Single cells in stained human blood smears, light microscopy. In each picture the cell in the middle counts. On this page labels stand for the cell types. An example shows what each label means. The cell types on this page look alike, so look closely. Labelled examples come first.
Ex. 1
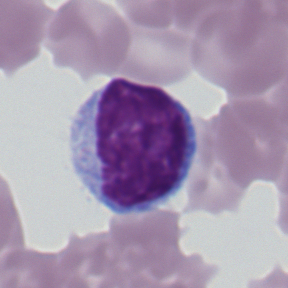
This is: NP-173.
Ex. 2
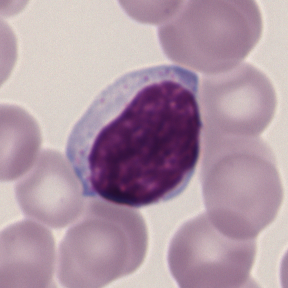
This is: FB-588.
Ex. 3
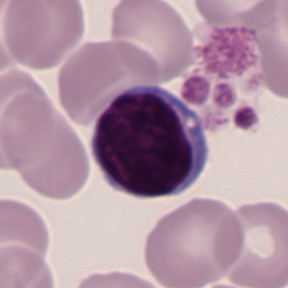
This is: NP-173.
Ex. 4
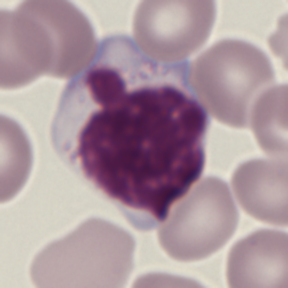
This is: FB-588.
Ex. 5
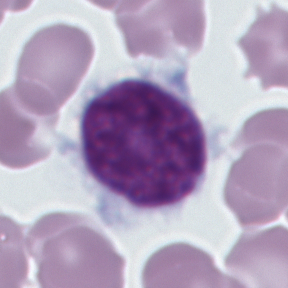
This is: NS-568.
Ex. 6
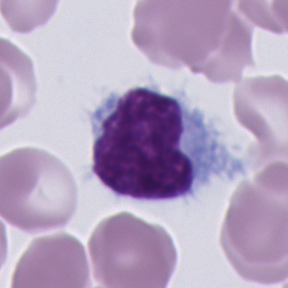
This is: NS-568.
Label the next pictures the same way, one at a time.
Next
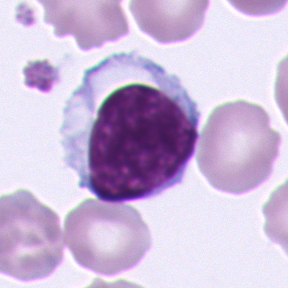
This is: NP-173.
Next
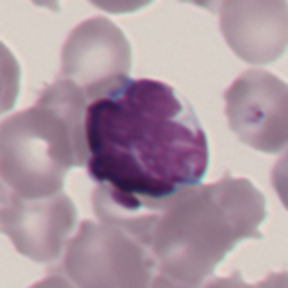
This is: NP-173.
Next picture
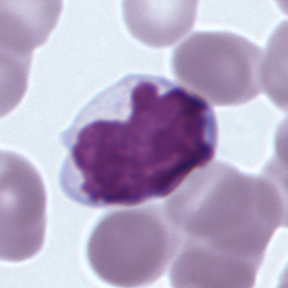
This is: FB-588.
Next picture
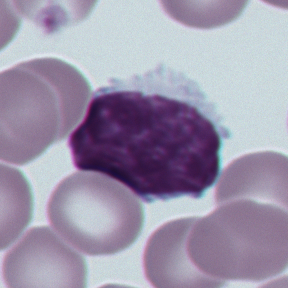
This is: NP-173.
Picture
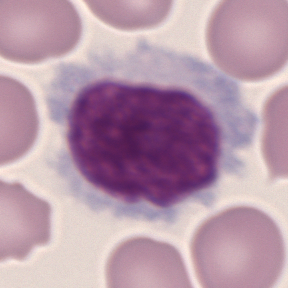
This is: NS-568.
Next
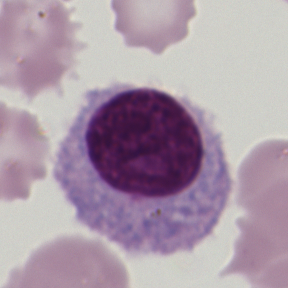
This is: NS-568.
